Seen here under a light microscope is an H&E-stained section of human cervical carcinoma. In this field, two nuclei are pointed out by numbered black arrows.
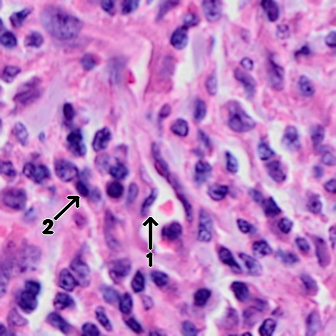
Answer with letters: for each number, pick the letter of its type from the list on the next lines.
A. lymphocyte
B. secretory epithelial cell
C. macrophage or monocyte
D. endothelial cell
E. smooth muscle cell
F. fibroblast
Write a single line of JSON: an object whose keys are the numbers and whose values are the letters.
{"1": "D", "2": "A"}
